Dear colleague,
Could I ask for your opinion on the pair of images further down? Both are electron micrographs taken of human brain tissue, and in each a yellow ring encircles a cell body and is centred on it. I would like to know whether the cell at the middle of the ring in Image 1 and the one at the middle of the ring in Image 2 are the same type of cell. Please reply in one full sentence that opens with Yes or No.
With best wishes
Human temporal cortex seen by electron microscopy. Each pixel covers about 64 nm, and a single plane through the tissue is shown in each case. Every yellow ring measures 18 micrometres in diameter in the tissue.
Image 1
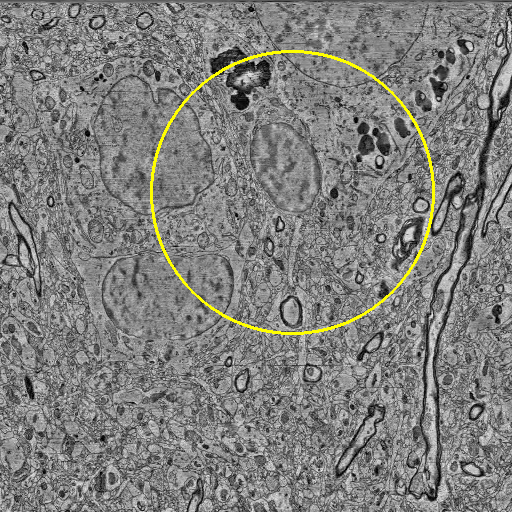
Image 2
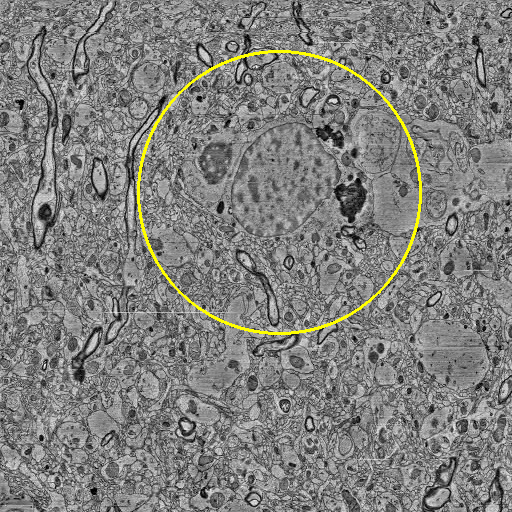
Yes, the cells at the ring centres in Image 1 and Image 2 are of one type.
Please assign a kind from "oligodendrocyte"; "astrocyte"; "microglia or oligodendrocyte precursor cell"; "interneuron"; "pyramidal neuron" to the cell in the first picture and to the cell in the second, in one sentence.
In each of the two pictures, the ringed cell is an oligodendrocyte.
